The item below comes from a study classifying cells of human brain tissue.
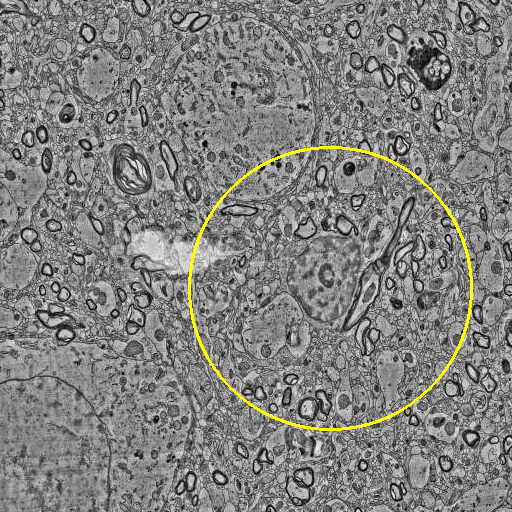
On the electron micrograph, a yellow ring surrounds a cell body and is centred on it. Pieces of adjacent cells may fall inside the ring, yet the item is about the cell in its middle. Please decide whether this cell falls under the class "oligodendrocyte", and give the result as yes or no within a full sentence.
Yes, the cell at the middle of the ring on the micrograph belongs in that class.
